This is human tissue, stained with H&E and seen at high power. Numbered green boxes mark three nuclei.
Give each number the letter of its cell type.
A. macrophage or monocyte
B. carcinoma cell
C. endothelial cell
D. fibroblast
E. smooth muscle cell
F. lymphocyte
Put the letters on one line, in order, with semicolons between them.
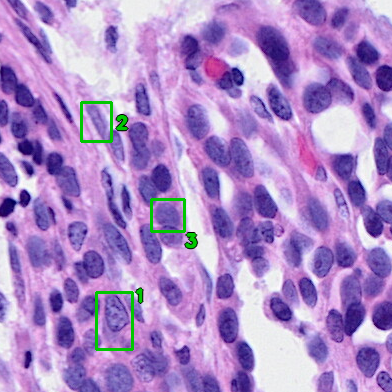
B; D; B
